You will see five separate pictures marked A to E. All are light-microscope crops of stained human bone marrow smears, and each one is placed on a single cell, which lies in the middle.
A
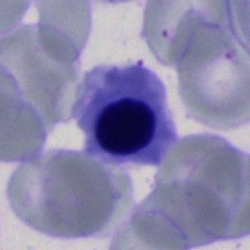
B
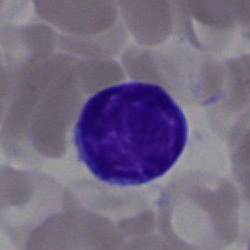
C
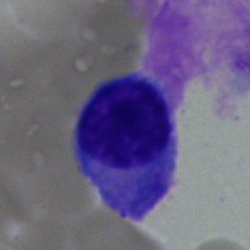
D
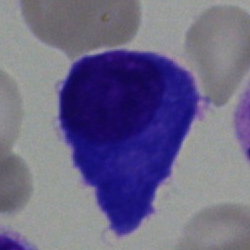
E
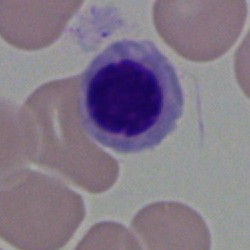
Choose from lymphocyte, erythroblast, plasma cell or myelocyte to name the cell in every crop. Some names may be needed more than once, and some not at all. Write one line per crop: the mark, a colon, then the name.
A: erythroblast
B: lymphocyte
C: plasma cell
D: plasma cell
E: erythroblast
